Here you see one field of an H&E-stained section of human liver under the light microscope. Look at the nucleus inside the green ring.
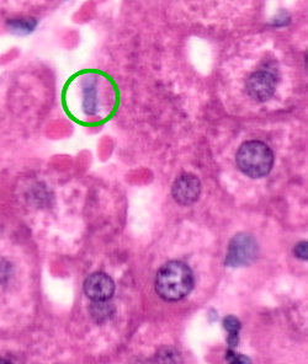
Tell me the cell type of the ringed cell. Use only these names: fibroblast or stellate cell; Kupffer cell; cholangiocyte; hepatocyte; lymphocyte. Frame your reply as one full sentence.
Assigned to a cell type, the ringed cell is a Kupffer cell.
